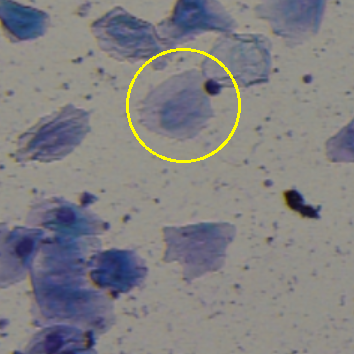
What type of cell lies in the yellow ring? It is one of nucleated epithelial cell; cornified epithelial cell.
The ringed cell is a cornified epithelial cell.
